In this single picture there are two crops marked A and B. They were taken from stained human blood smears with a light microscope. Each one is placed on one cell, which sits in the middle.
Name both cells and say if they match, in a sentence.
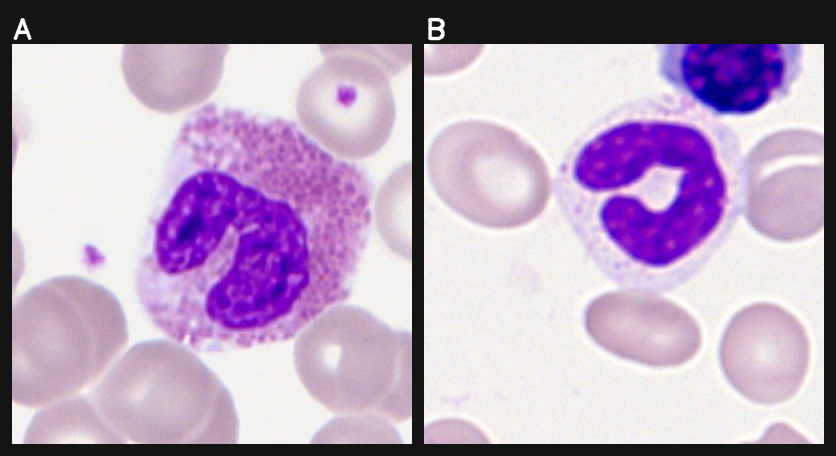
No, crop B shows a segmented neutrophil, and crop A shows an eosinophil.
